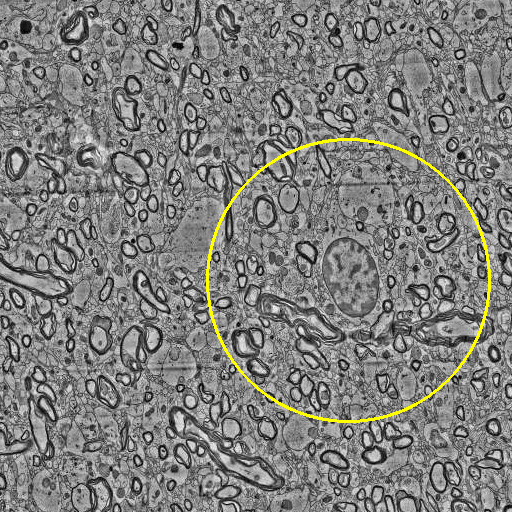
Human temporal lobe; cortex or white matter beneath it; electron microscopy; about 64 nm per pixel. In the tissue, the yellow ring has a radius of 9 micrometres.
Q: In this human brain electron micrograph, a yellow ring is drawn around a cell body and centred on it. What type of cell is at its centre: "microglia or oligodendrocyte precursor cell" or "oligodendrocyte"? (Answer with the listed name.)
microglia or oligodendrocyte precursor cell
